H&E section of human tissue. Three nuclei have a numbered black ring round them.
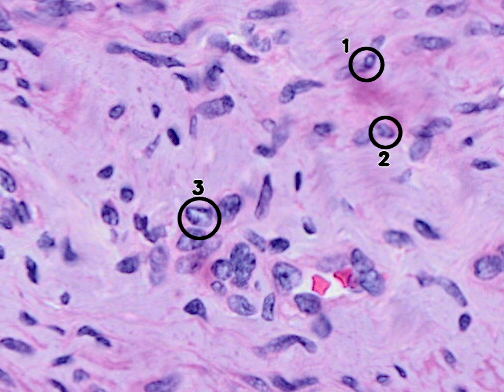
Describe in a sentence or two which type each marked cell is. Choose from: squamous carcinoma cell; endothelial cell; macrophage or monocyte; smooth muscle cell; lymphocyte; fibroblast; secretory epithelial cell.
Cells 1 and 2 are smooth muscle cells. Cell 3 is an endothelial cell.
